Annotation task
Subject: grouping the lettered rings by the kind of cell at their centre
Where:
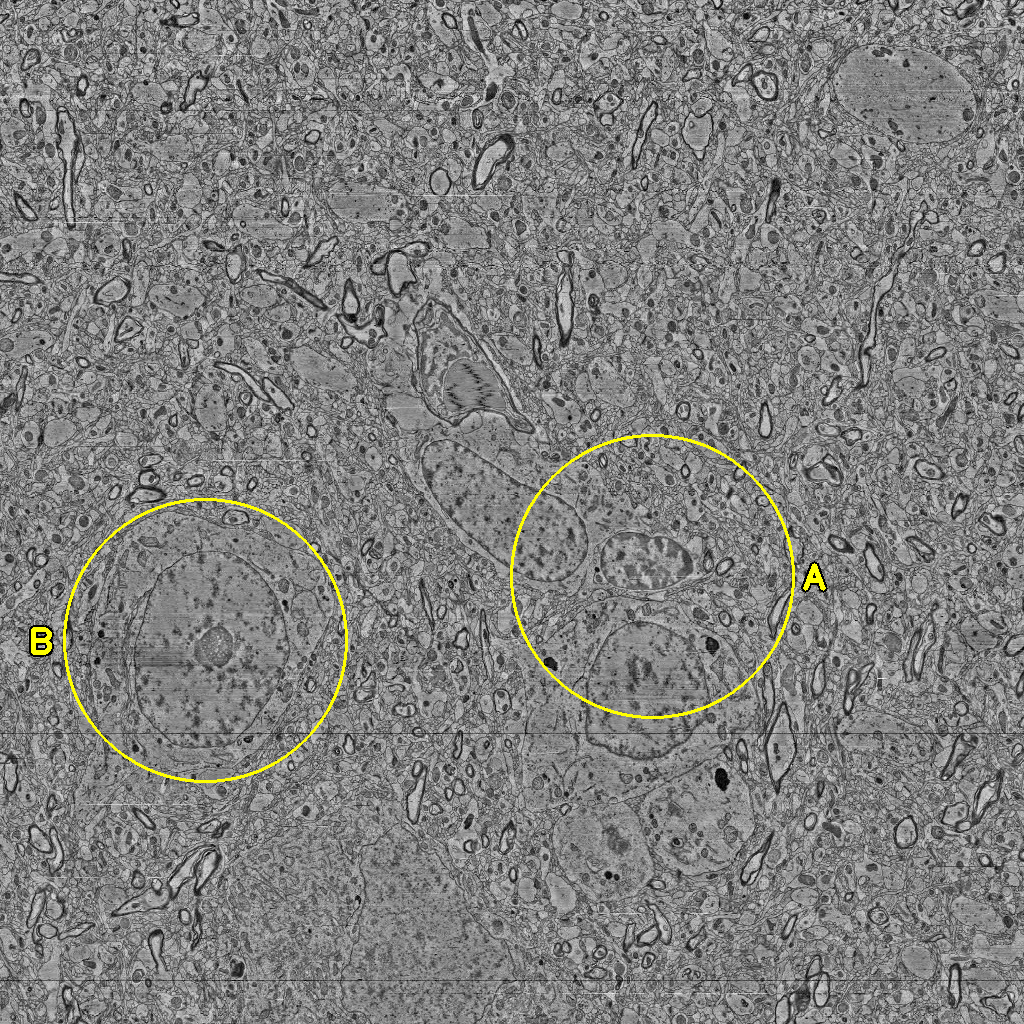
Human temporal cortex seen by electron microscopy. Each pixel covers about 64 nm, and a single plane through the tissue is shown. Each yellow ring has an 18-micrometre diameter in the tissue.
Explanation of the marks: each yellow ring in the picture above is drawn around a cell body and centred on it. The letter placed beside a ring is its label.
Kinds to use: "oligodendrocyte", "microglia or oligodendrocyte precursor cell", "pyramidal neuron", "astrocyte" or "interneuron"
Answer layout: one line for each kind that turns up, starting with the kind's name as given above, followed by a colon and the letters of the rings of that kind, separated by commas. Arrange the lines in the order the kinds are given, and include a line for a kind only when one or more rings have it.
microglia or oligodendrocyte precursor cell: A
pyramidal neuron: B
